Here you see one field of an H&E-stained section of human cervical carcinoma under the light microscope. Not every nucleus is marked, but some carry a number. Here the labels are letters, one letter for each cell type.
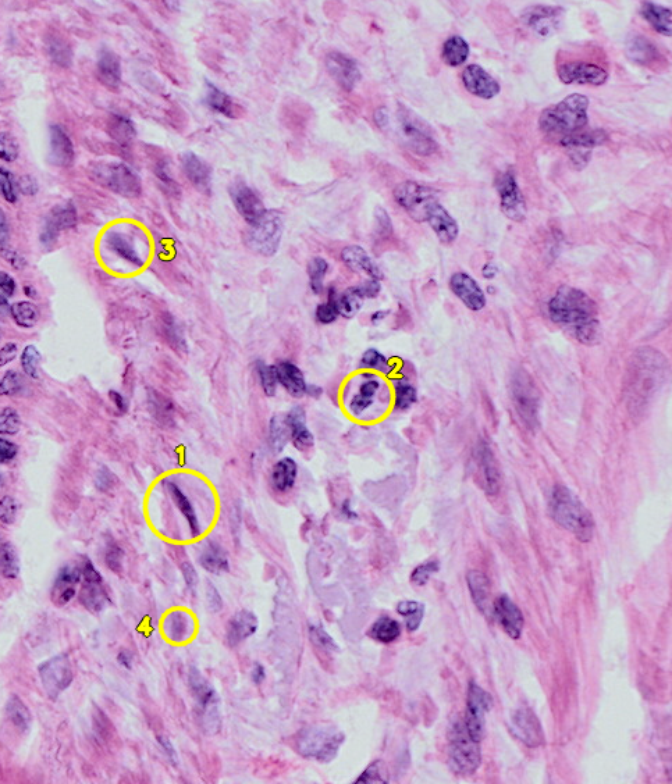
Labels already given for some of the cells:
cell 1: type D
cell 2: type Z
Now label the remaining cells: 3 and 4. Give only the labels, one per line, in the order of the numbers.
type D
type D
